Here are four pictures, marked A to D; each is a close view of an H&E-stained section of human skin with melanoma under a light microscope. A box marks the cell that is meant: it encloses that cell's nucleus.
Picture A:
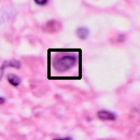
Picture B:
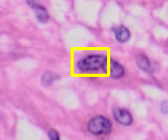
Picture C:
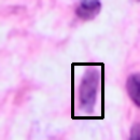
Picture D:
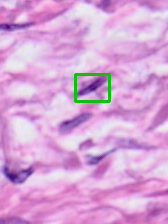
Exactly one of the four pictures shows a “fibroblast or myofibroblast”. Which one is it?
D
